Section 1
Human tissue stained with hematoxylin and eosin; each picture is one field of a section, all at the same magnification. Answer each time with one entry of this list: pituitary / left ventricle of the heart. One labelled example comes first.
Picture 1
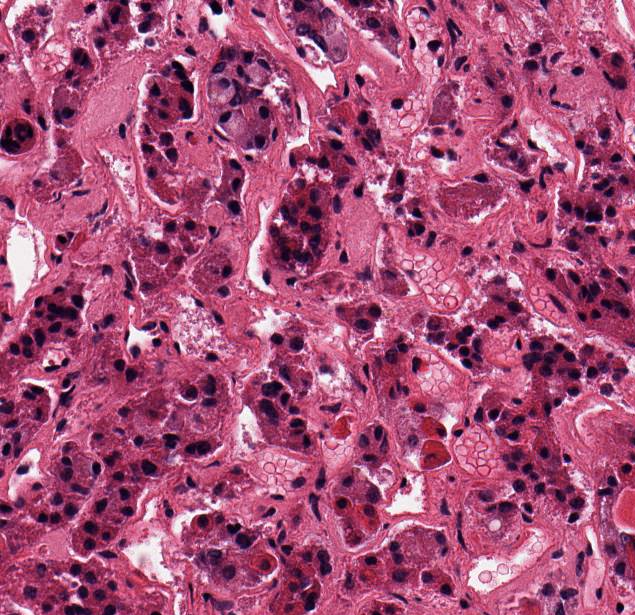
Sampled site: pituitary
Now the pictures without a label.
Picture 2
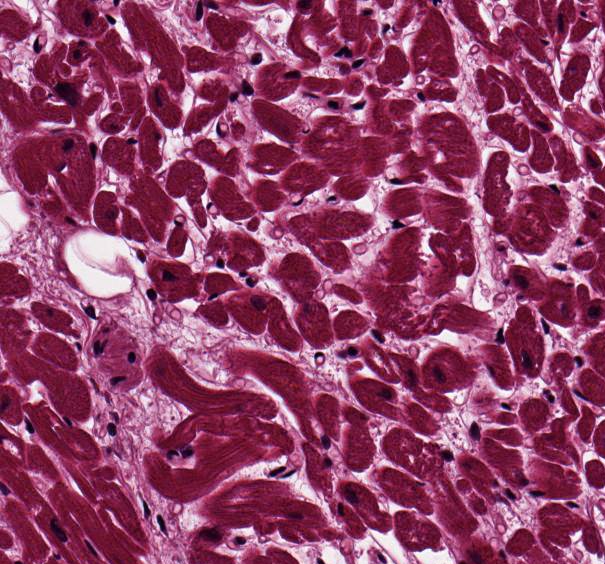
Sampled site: left ventricle of the heart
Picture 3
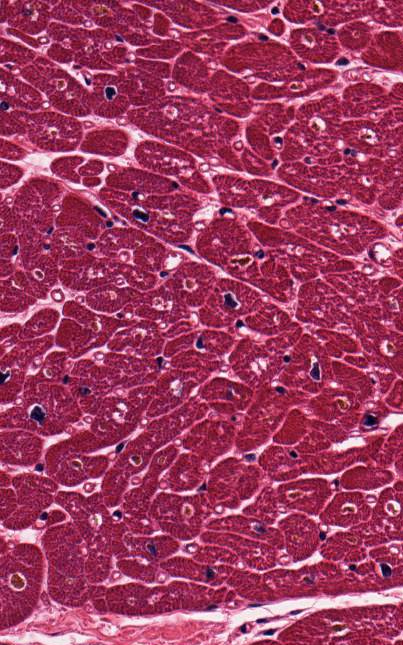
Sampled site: left ventricle of the heart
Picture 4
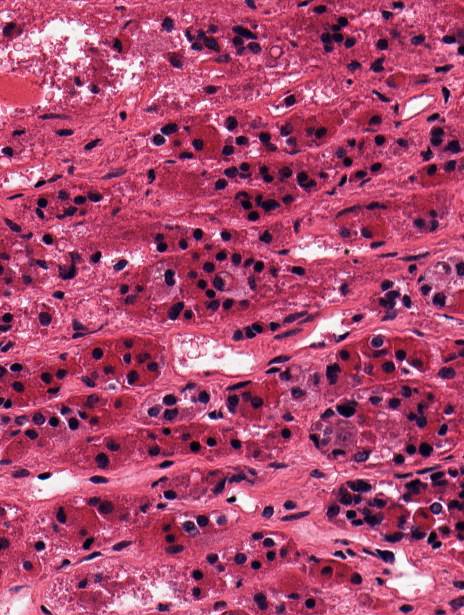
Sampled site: pituitary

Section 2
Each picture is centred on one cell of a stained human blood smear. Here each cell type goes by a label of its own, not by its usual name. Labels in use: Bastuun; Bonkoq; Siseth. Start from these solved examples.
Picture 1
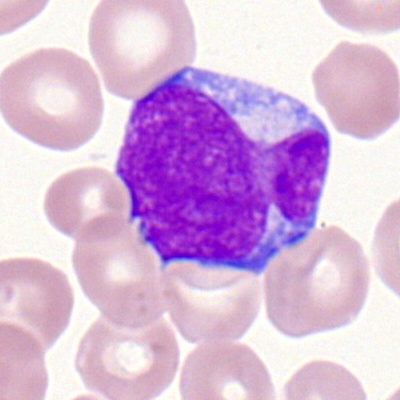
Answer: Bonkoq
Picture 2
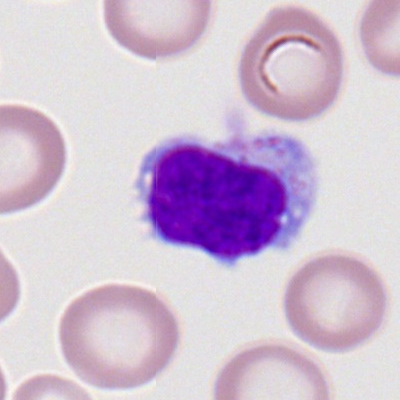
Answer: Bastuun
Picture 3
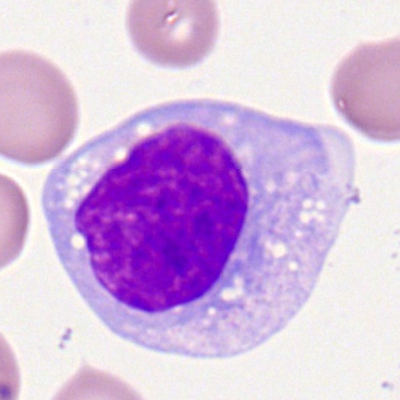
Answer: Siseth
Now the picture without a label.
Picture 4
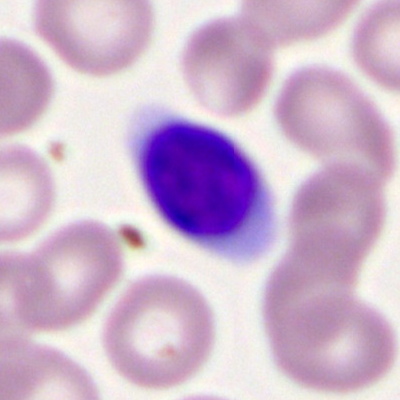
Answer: Bastuun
